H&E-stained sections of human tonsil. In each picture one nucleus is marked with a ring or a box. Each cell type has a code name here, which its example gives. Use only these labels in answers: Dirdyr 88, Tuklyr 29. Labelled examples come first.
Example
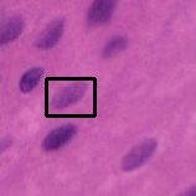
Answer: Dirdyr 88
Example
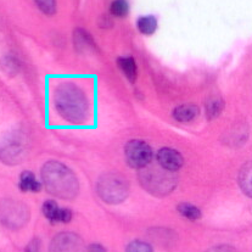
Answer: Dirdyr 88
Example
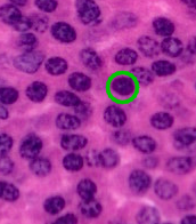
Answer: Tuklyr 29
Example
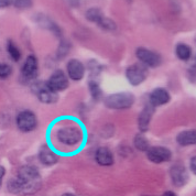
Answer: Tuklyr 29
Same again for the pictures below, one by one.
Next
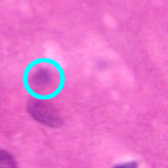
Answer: Dirdyr 88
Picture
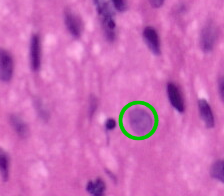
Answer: Dirdyr 88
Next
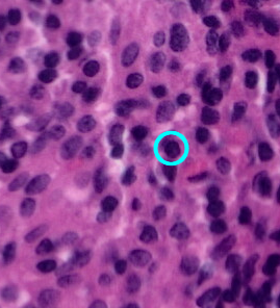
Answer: Tuklyr 29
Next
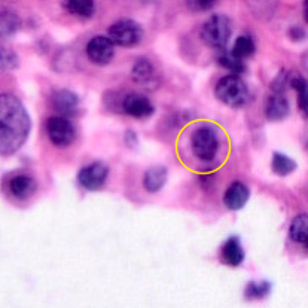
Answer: Tuklyr 29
